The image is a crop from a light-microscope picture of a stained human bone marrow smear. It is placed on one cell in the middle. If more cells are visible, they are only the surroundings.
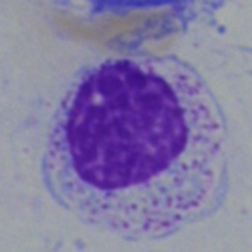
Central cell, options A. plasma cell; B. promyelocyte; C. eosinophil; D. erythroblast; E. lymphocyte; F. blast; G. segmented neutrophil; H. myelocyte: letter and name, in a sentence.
Well, the cell in the middle is a myelocyte, making option H right.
